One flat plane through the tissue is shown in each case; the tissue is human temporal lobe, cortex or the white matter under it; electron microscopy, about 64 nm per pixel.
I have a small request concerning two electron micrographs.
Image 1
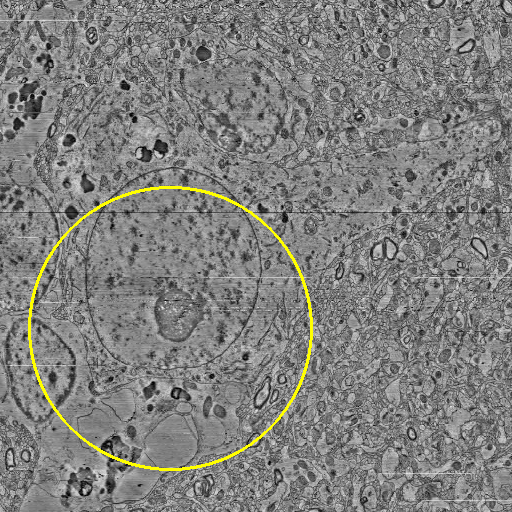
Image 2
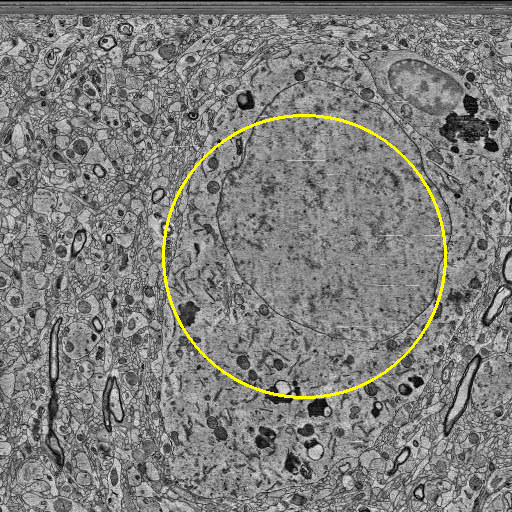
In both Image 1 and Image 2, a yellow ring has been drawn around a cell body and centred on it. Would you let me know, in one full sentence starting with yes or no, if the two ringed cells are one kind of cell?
Yes, the cells ringed in Image 1 and Image 2 are one kind of cell.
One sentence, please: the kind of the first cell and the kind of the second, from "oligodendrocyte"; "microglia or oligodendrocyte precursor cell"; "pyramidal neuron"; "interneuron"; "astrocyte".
Both pictures show a pyramidal neuron at the centre of the ring.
